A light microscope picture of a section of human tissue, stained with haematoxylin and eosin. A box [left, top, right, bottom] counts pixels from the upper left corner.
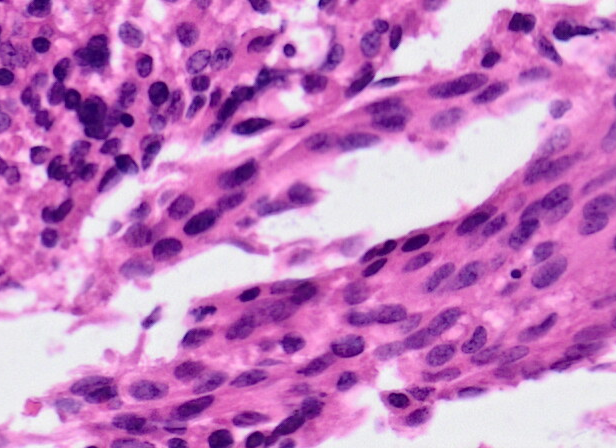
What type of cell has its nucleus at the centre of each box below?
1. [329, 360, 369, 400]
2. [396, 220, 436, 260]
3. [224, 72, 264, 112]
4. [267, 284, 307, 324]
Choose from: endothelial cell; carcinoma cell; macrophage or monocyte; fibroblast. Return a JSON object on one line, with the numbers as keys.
{"1": "macrophage or monocyte", "2": "carcinoma cell", "3": "carcinoma cell", "4": "carcinoma cell"}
